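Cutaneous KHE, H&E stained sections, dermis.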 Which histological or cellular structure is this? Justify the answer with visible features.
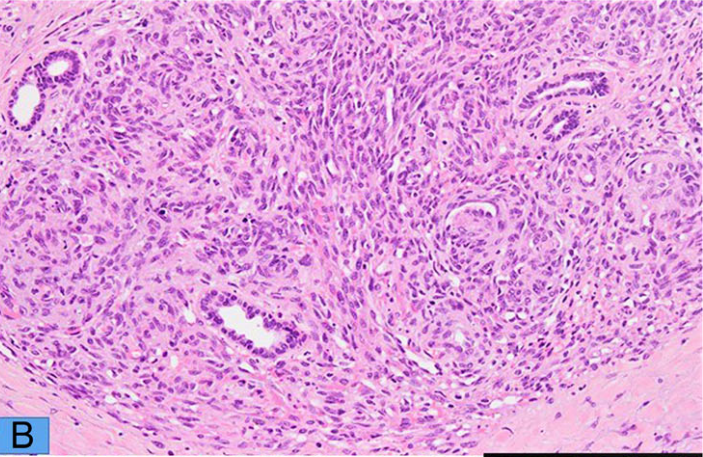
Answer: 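Bi-layered eccrine glandular acini. Several small round glandular profiles with open lumens lie within a dense spindle-cell proliferation.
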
